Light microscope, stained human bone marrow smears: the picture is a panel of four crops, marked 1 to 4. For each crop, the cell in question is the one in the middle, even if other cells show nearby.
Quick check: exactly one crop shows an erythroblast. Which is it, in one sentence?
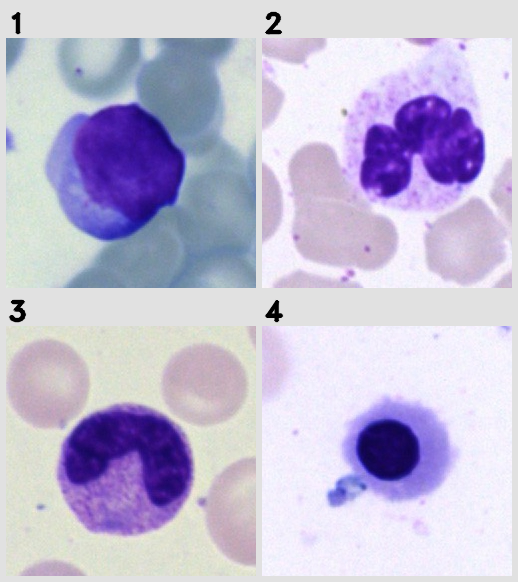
Of the labeled crops, the one with an erythroblast is crop 4.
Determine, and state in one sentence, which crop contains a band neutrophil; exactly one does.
In this set, crop 3 is the one showing a band neutrophil.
